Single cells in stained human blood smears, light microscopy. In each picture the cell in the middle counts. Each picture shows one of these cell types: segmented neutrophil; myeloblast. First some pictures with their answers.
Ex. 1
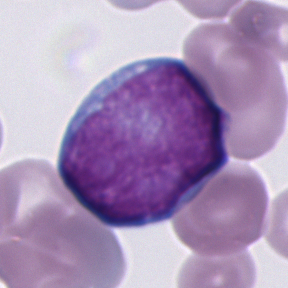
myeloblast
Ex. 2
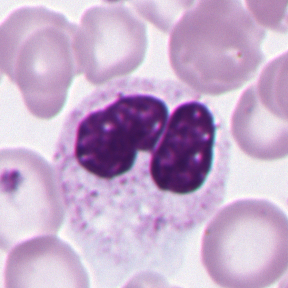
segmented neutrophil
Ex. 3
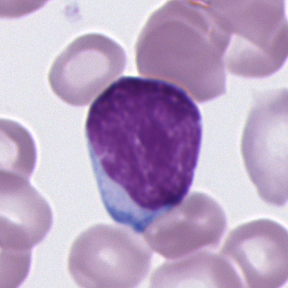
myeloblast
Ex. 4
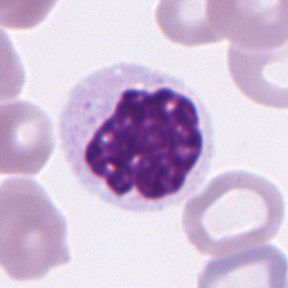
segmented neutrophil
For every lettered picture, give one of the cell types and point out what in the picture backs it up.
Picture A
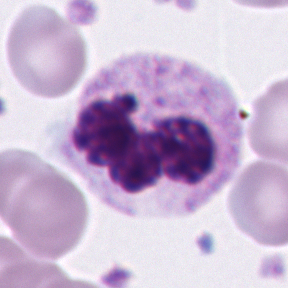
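segmented neutrophil. Evidence: The cytoplasm is abundant and widest above the nucleus.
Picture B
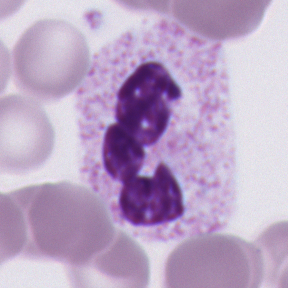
segmented neutrophil. Evidence: The nucleus is divided into three lobes arranged in a vertical chain.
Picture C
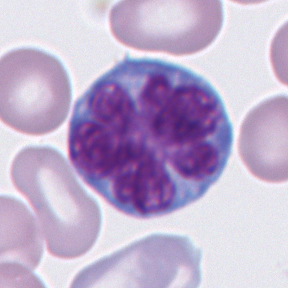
myeloblast. Evidence: The cytoplasm forms a narrow rim around the nucleus.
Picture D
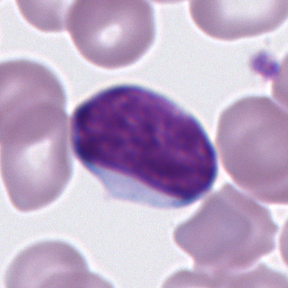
myeloblast. Evidence: The cytoplasm forms a narrow crescent along the lower edge of the cell.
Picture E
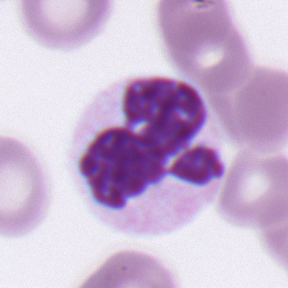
segmented neutrophil. Evidence: The cytoplasm is pale pink.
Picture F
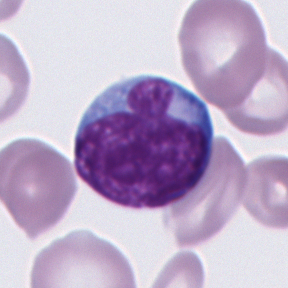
myeloblast. Evidence: The blue of the cytoplasm deepens toward the cell's edge.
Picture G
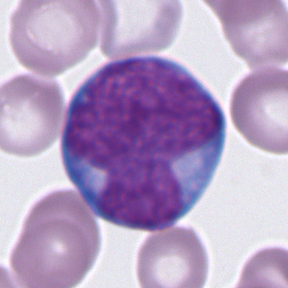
myeloblast. Evidence: The nucleus fills most of the cell.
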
